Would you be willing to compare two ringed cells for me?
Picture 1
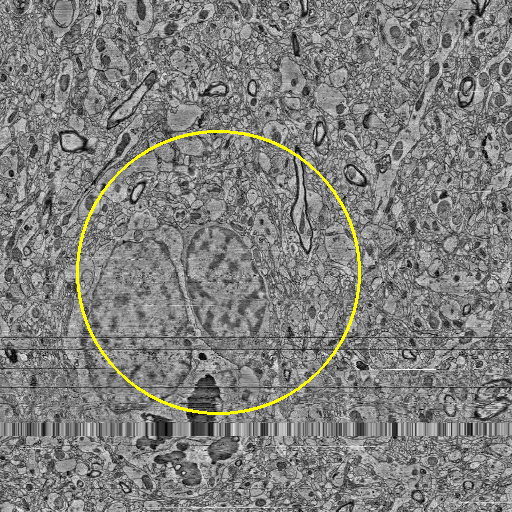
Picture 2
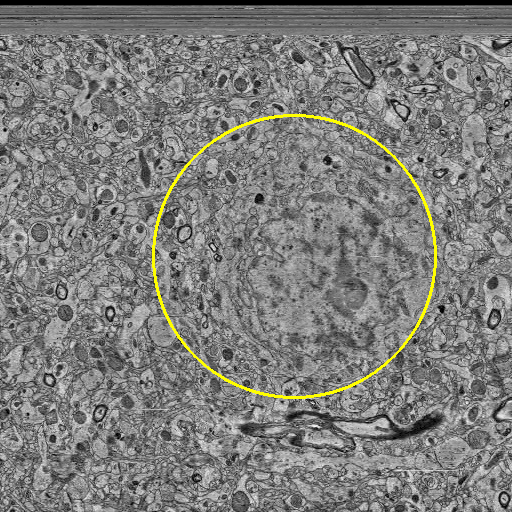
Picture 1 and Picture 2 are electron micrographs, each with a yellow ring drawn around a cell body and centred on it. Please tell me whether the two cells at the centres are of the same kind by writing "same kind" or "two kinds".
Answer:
two kinds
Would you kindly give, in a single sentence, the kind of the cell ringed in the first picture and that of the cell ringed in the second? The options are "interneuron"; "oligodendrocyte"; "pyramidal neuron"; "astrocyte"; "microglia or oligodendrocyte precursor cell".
The second cell is an interneuron, and the first cell is an oligodendrocyte.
